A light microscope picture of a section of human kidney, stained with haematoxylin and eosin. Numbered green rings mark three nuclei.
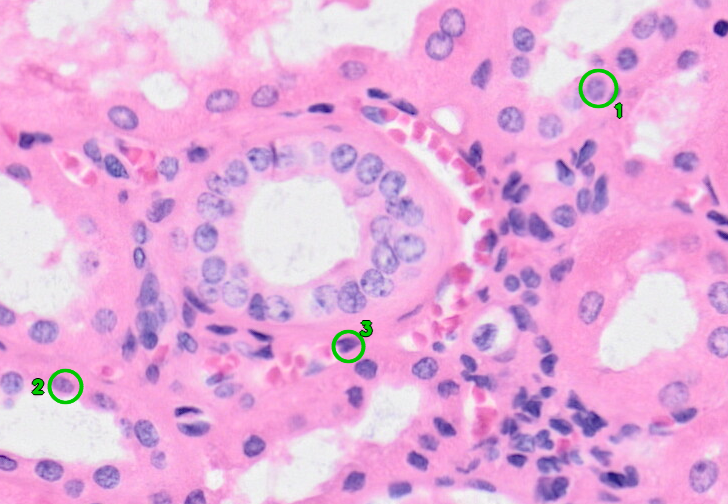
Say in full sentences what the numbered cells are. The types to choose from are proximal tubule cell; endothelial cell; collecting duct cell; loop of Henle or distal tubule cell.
Cell 1 is a collecting duct cell. Cell 2 is a loop of Henle or distal tubule cell. Cell 3 is an endothelial cell.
